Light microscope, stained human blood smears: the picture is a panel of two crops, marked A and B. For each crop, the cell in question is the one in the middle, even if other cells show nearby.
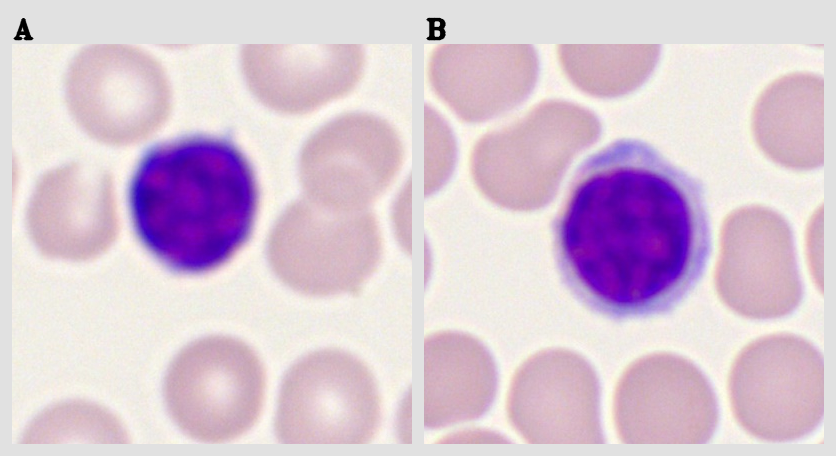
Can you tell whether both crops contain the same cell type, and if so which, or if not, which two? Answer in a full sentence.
Yes, as an answer for this item, both crops show lymphocytes.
